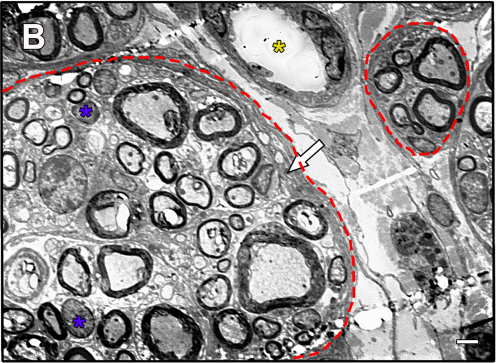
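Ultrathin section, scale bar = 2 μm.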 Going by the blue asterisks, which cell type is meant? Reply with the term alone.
Schwann cells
